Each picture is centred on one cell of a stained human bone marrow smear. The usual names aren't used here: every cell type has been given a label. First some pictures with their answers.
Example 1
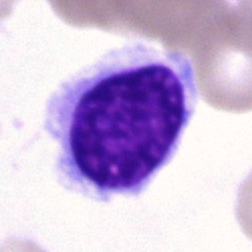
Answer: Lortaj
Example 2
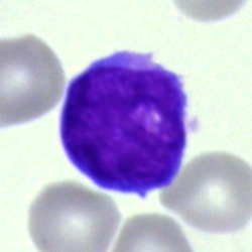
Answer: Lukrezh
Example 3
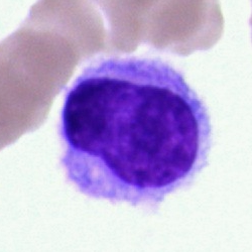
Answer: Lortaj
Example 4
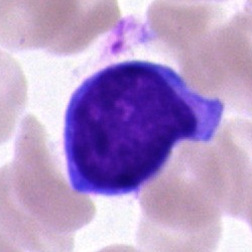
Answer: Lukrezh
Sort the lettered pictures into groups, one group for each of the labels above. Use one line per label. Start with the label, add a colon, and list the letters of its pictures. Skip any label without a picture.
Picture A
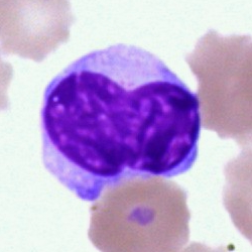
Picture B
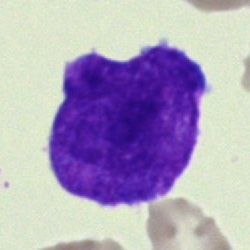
Lortaj: A
Lukrezh: B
